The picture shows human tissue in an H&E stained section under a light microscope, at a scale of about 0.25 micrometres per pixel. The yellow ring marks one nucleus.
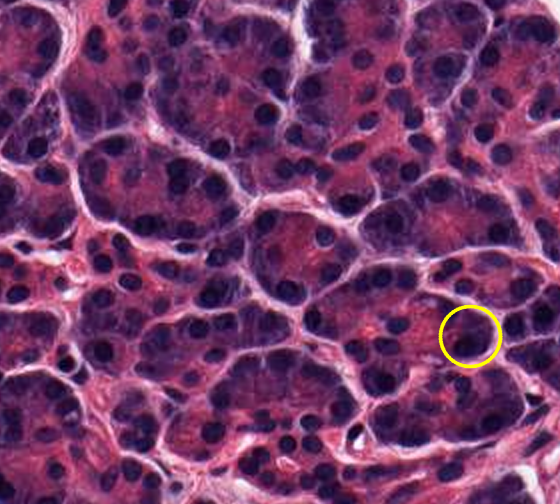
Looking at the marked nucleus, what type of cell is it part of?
pancreatic acinar cell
